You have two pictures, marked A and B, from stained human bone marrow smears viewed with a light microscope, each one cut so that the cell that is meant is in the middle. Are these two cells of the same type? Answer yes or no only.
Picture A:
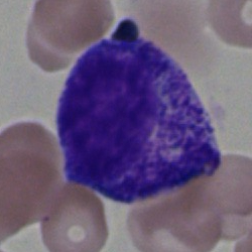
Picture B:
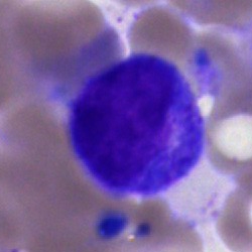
no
